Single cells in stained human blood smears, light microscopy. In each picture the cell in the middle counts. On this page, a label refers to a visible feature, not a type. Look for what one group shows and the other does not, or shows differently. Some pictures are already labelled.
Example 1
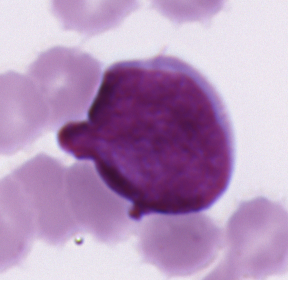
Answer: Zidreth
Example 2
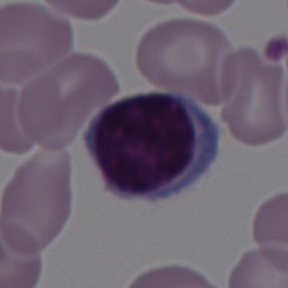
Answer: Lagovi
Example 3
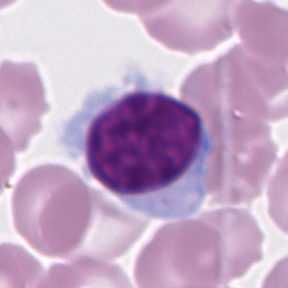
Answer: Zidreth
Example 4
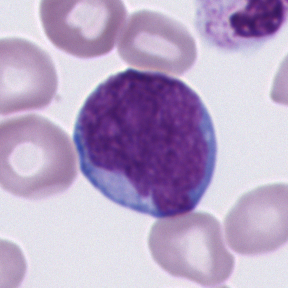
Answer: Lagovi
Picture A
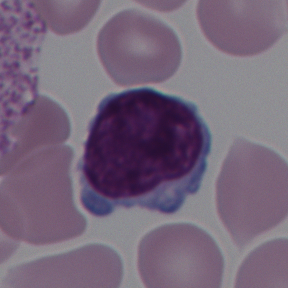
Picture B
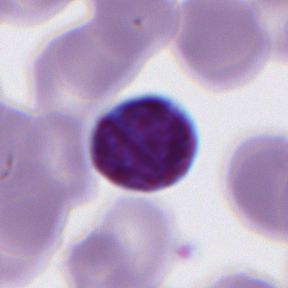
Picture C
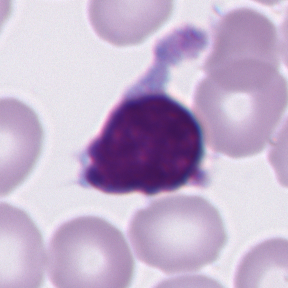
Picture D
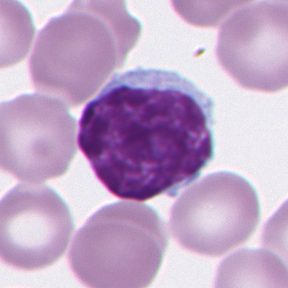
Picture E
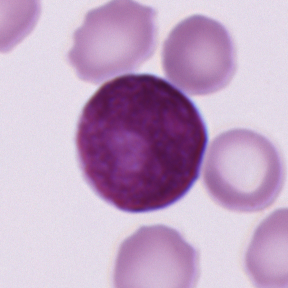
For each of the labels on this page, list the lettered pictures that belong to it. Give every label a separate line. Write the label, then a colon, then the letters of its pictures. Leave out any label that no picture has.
Zidreth: A, C, D
Lagovi: B, E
